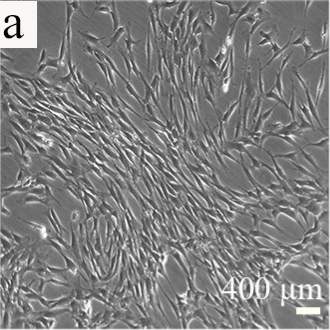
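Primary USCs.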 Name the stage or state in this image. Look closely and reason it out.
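Cells are elongated with tapering ends. Many cells lie parallel to one another in streams.
Answer: spindle-shaped morphology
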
